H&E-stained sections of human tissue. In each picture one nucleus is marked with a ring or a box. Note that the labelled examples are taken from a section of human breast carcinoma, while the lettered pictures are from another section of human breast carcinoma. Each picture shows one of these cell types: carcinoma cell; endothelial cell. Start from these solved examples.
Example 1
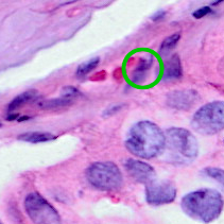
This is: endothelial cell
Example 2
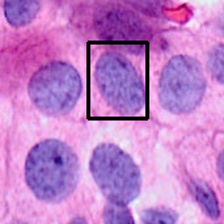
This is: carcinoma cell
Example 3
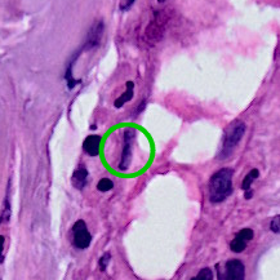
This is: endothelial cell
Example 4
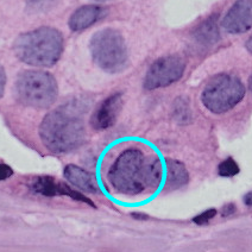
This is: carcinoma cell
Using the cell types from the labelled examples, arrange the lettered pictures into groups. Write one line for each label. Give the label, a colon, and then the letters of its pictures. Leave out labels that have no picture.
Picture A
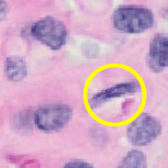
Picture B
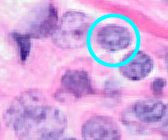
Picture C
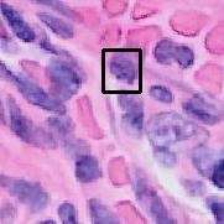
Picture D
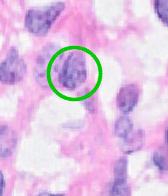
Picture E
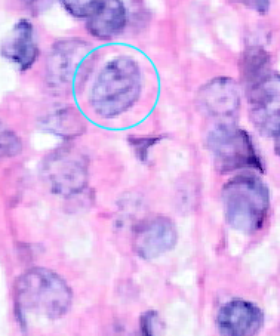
carcinoma cell: B, D, E
endothelial cell: A, C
